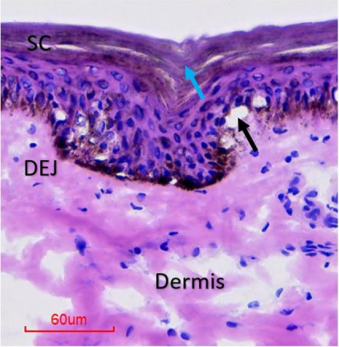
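The epidermis bulges down into a deep ridge, and its basal layer is lined with dense brown pigment along the junction with the dermis. Near the basal layer, a few clear, rounded empty spaces, vacuoles, sit among the cells. The dermis shows wavy pink fibres with scattered small dark nuclei.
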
